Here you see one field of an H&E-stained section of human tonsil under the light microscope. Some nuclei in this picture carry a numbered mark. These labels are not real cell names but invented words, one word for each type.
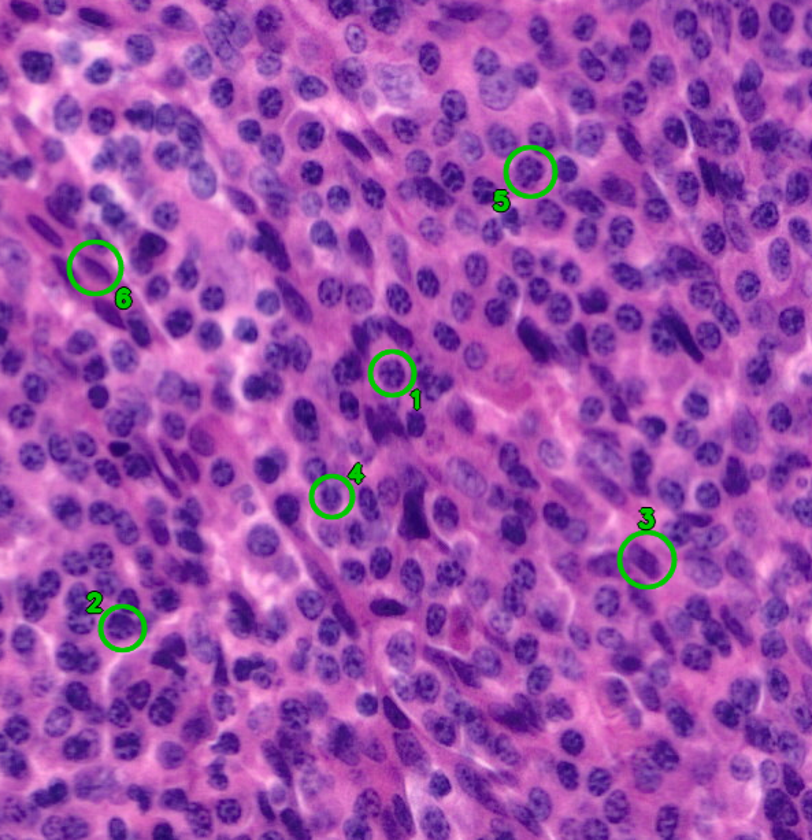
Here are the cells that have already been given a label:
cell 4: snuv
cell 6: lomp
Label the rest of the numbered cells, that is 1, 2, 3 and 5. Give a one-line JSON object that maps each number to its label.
{"1": "snuv", "2": "snuv", "3": "lomp", "5": "snuv"}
